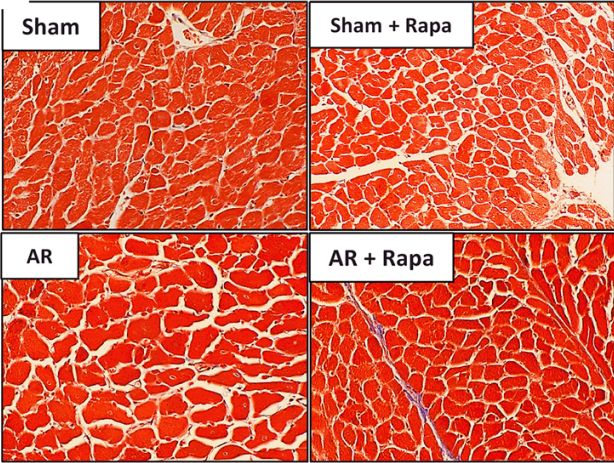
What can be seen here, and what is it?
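The myocytes lie packed closely side by side in groups, separated only by narrow white clefts of interstitial space. Their cytoplasm stains a fairly even red, and nuclei are few and inconspicuous at this magnification. Comparing the fields, the myocyte profiles in the lower left field look broader than those in the upper fields.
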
